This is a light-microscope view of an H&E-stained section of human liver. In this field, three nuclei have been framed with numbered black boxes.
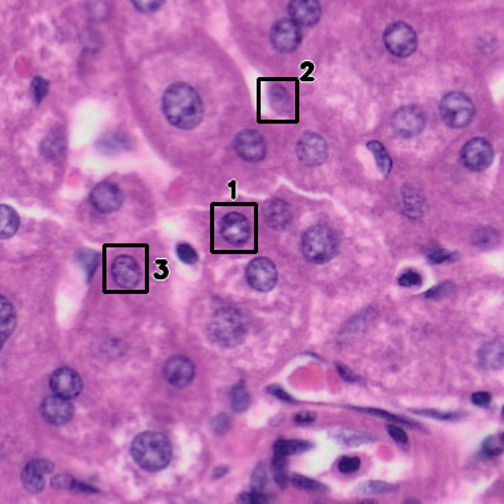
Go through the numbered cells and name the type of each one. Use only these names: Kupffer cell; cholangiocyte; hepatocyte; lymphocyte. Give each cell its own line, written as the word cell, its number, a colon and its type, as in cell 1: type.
cell 1: hepatocyte
cell 2: Kupffer cell
cell 3: hepatocyte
